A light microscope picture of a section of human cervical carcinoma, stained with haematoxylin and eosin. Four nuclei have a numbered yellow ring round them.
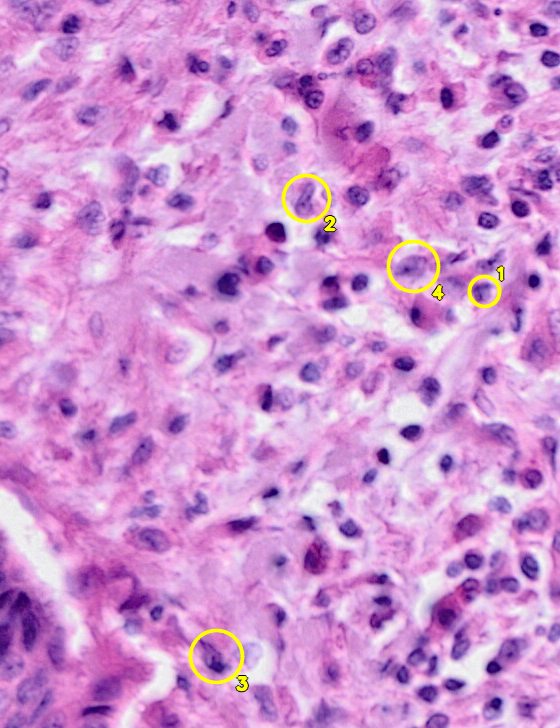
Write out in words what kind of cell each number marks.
Cell 1 is a lymphocyte, cell 2 is a macrophage or monocyte, cell 3 is a macrophage or monocyte and cell 4 is a macrophage or monocyte.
